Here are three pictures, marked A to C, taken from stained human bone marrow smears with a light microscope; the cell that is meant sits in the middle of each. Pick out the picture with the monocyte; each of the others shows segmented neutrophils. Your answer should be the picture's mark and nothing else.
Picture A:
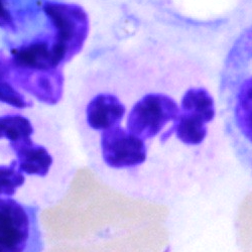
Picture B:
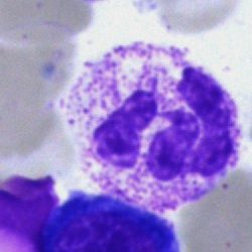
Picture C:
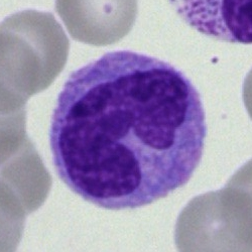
C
